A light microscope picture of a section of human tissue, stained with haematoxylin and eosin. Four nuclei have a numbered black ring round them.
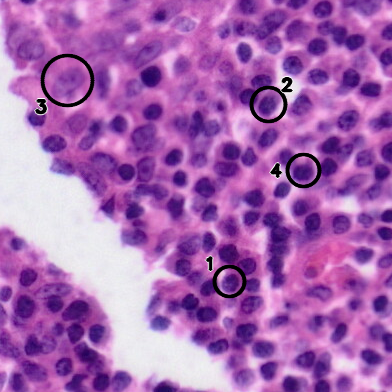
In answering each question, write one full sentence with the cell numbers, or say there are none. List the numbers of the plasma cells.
The cells to which the numbers 1, 2 and 4 refer are plasma cells.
